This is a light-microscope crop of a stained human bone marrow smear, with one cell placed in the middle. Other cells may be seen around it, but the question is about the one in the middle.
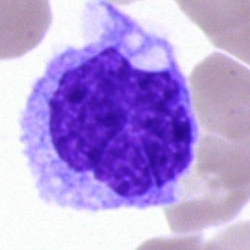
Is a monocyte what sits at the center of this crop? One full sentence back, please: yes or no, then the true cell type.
Yes, the centrally placed cell is a monocyte.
